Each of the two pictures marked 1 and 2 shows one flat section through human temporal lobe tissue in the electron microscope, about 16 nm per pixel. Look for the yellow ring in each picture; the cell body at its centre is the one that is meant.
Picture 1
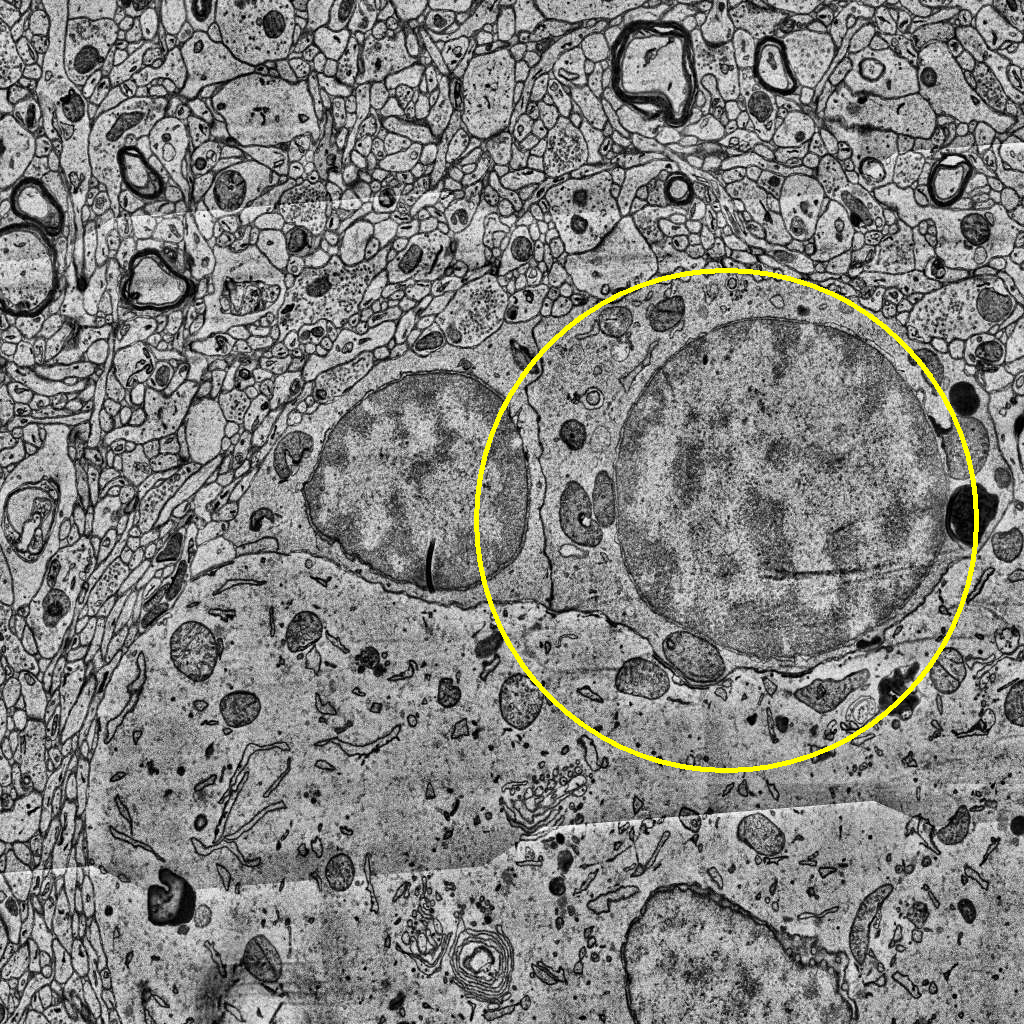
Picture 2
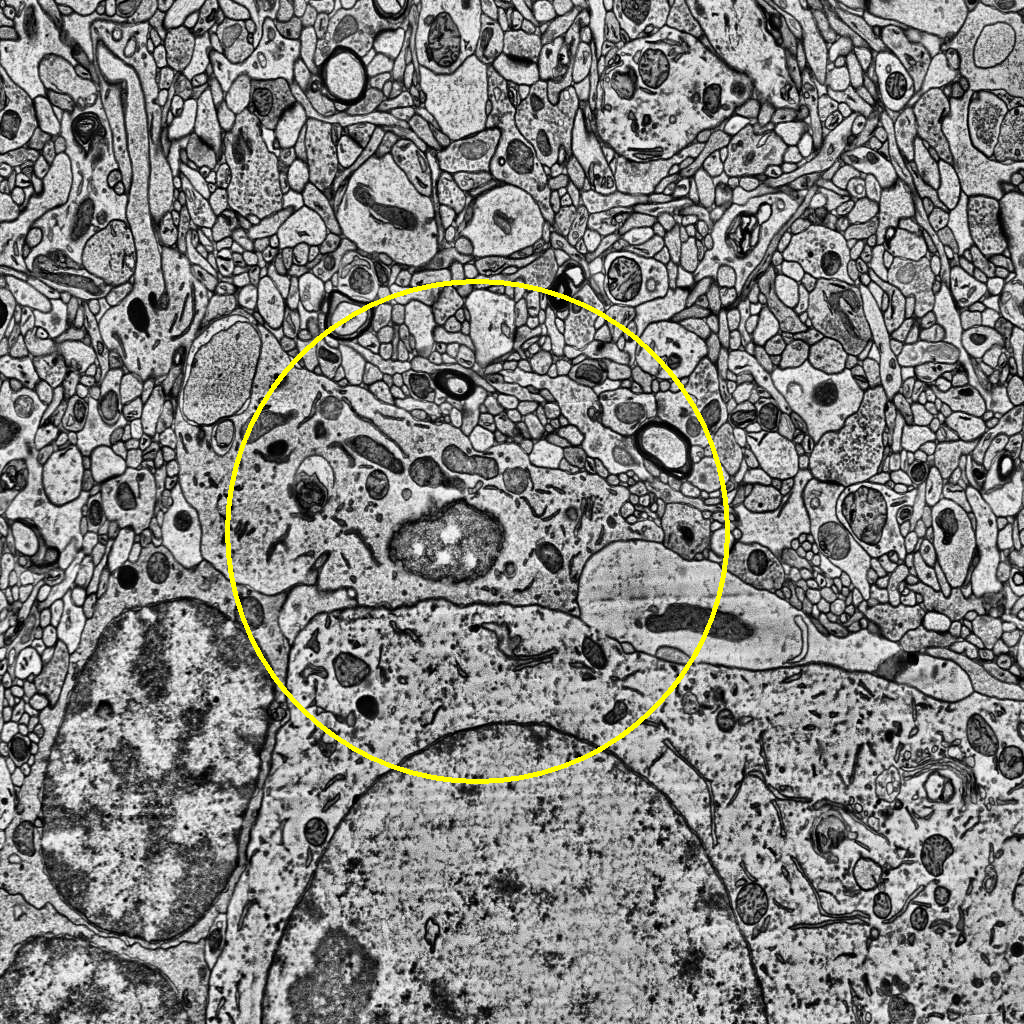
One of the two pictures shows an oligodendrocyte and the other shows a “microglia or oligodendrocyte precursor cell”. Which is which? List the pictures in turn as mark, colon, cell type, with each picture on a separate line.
1: oligodendrocyte
2: microglia or oligodendrocyte precursor cell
